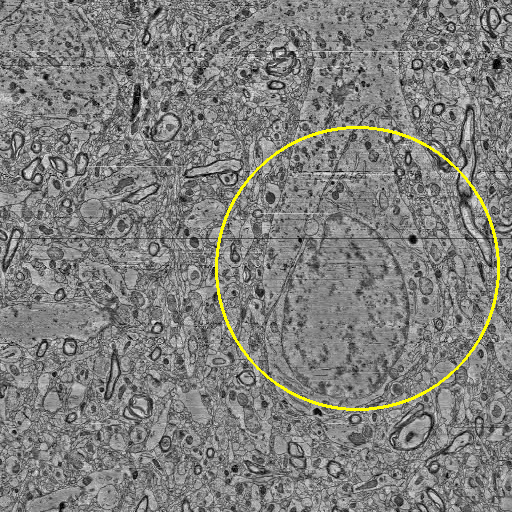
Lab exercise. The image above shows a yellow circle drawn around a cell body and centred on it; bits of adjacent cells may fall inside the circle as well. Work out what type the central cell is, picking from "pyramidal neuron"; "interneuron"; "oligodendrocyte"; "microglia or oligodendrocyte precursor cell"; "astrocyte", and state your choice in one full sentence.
In the image above, the cell at the centre of the yellow circle is an interneuron.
